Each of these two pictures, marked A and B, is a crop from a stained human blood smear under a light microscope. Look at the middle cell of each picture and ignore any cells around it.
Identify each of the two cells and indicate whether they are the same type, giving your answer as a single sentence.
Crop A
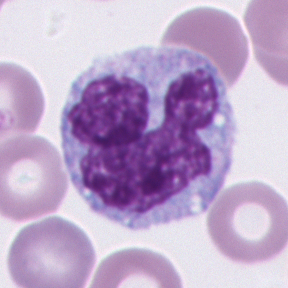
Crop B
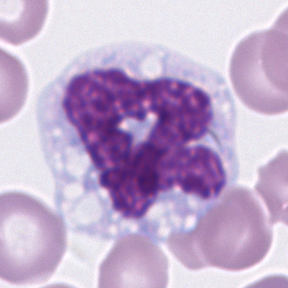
Yes, in the middle of both crops lie monocytes.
